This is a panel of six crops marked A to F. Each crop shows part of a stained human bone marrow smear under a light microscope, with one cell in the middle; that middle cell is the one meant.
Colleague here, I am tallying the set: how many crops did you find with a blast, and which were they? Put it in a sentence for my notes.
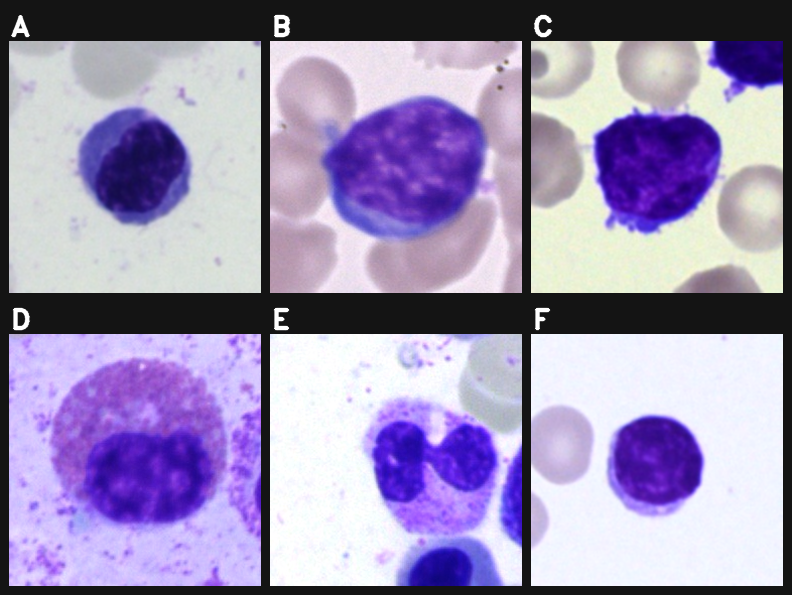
It is in crops B and C that blasts are shown, two crops in all.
